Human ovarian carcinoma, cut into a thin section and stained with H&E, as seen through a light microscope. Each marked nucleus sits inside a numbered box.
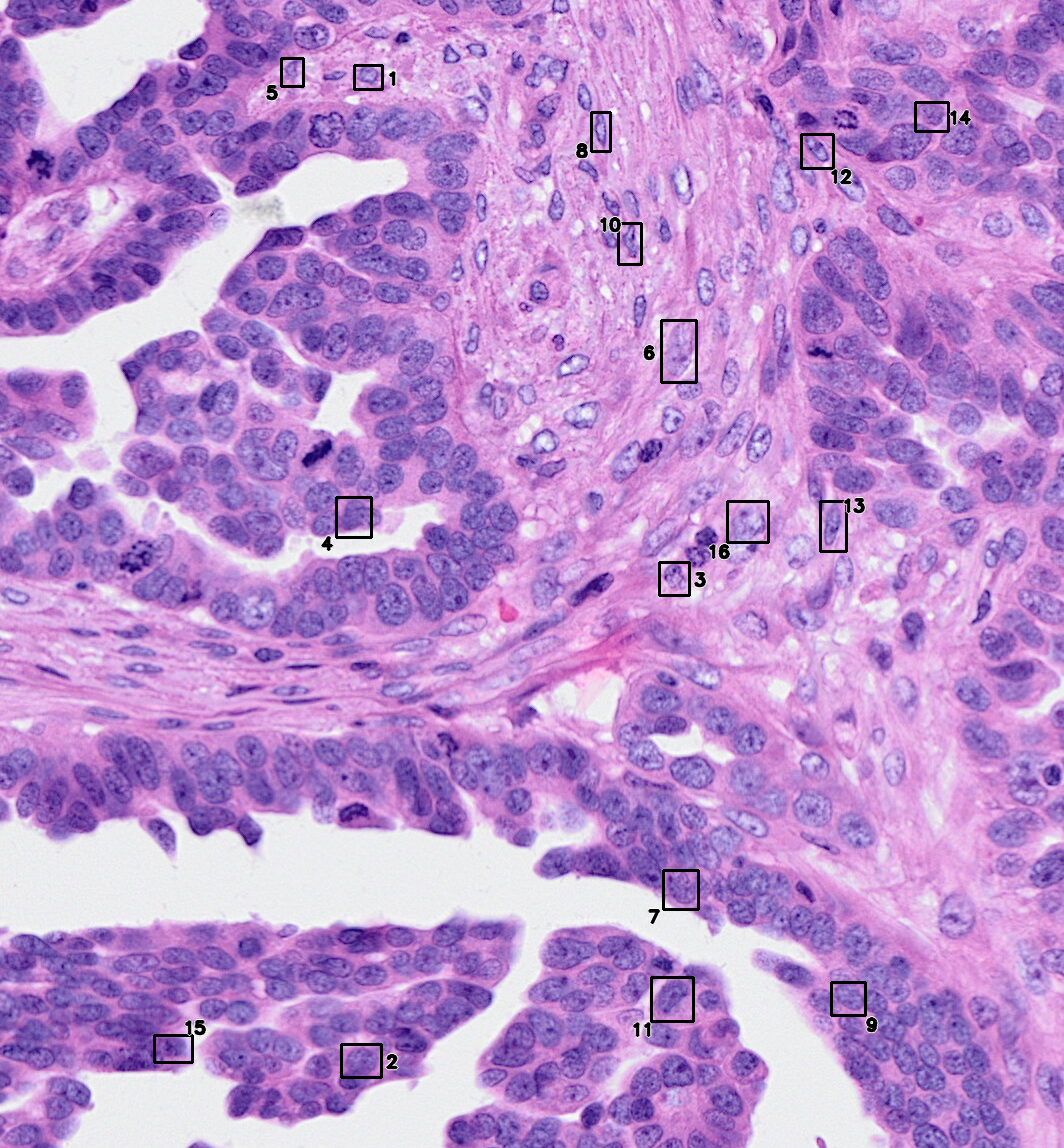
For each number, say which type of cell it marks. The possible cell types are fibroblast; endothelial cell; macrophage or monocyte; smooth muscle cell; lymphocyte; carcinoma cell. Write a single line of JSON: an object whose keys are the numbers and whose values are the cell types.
{"1": "fibroblast", "2": "carcinoma cell", "3": "macrophage or monocyte", "4": "carcinoma cell", "5": "fibroblast", "6": "fibroblast", "7": "carcinoma cell", "8": "fibroblast", "9": "carcinoma cell", "10": "fibroblast", "11": "carcinoma cell", "12": "fibroblast", "13": "fibroblast", "14": "carcinoma cell", "15": "carcinoma cell", "16": "fibroblast"}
